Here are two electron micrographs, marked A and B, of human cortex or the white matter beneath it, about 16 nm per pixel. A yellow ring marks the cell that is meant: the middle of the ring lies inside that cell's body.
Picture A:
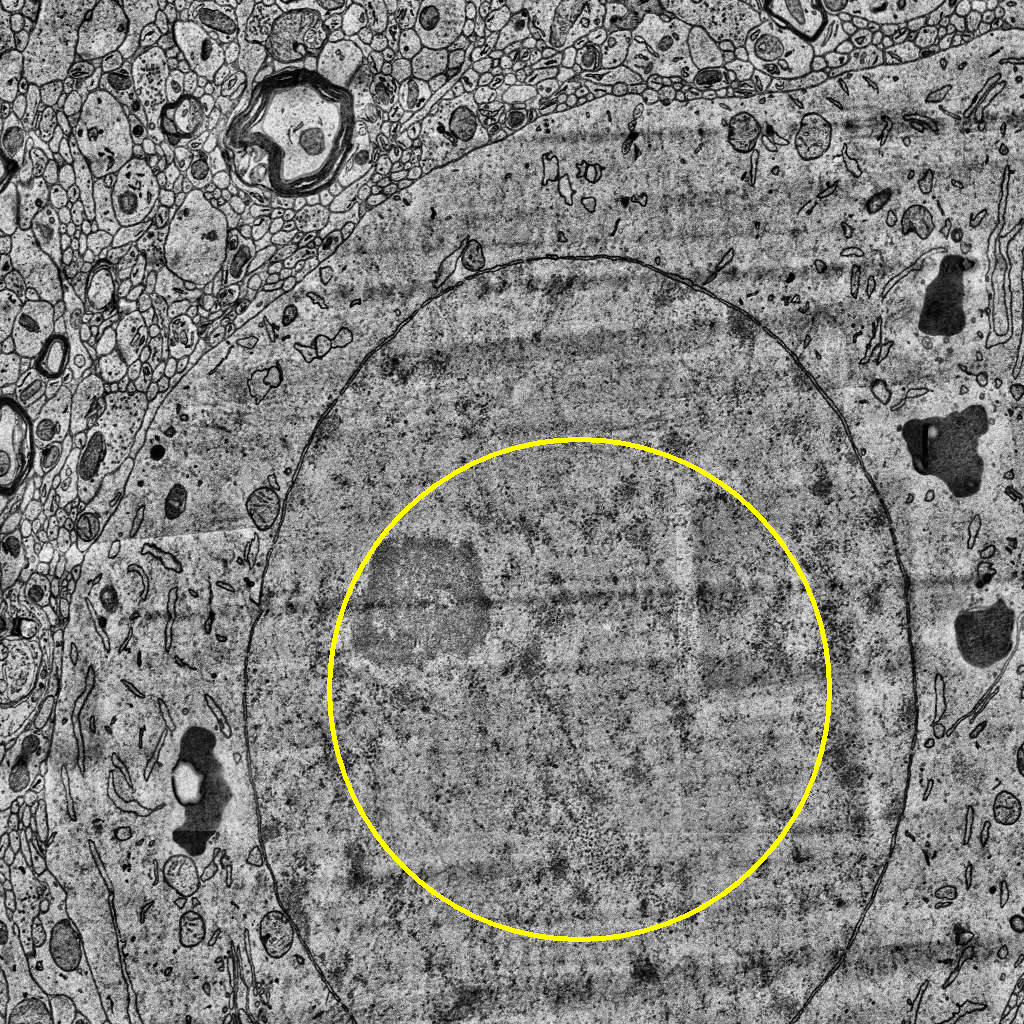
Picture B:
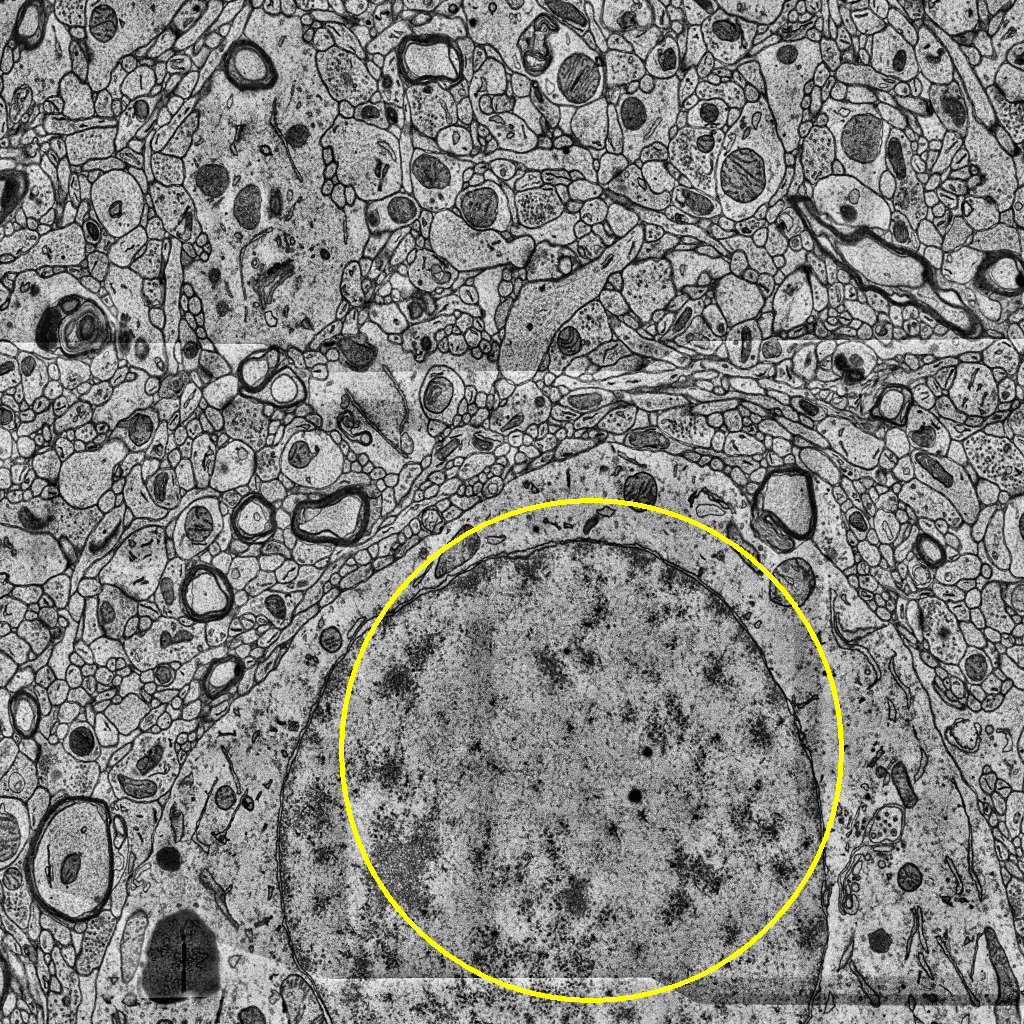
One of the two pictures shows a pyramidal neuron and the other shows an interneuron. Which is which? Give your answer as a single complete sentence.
Picture A is of a pyramidal neuron, and picture B is of an interneuron.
